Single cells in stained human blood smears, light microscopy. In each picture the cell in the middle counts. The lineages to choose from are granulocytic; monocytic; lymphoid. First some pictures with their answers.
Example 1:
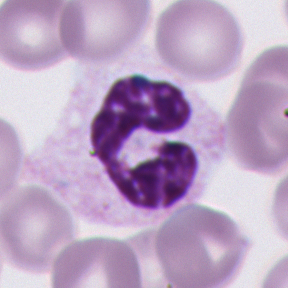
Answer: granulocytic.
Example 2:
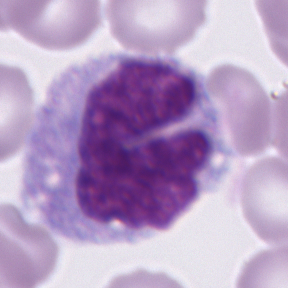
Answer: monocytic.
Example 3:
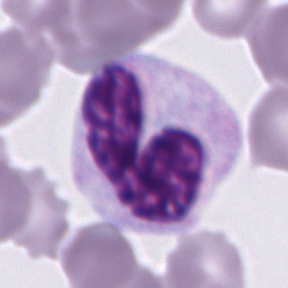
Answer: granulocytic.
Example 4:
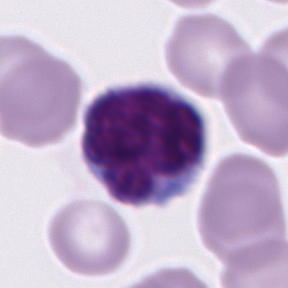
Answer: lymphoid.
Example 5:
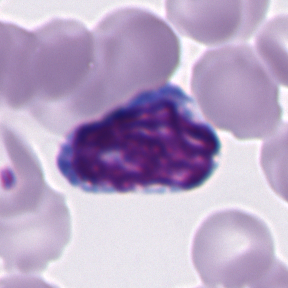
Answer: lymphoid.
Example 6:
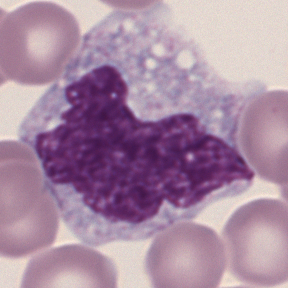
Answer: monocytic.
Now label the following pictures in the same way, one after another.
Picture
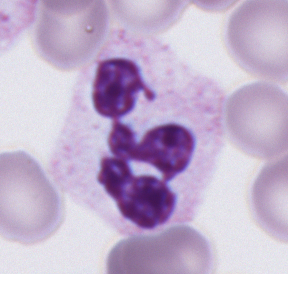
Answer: granulocytic.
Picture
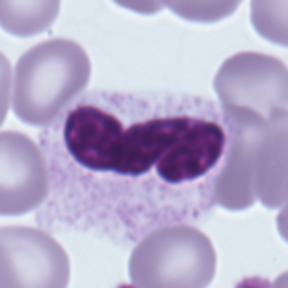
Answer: granulocytic.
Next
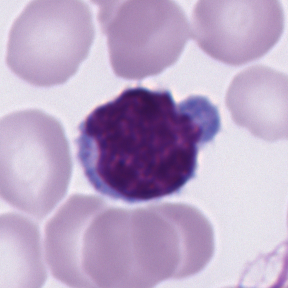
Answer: lymphoid.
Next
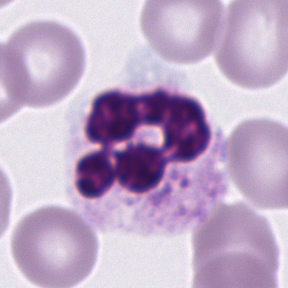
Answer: granulocytic.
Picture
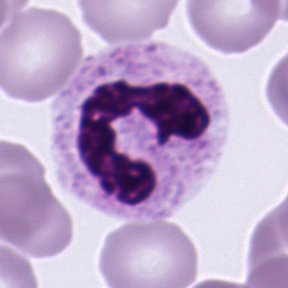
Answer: granulocytic.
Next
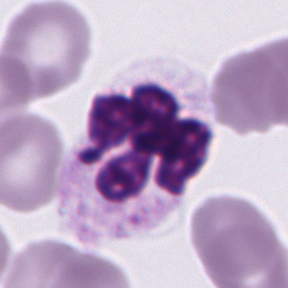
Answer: granulocytic.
